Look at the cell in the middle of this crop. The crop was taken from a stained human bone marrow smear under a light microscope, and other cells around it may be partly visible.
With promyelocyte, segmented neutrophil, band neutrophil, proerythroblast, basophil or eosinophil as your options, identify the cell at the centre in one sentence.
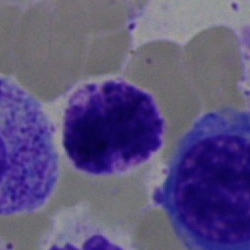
The cell in the middle of this crop is a basophil.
